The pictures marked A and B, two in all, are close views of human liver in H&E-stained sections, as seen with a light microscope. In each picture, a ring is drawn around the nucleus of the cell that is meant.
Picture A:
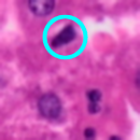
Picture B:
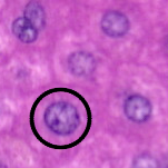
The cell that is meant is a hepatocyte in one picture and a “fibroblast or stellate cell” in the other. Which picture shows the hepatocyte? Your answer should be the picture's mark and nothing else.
B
